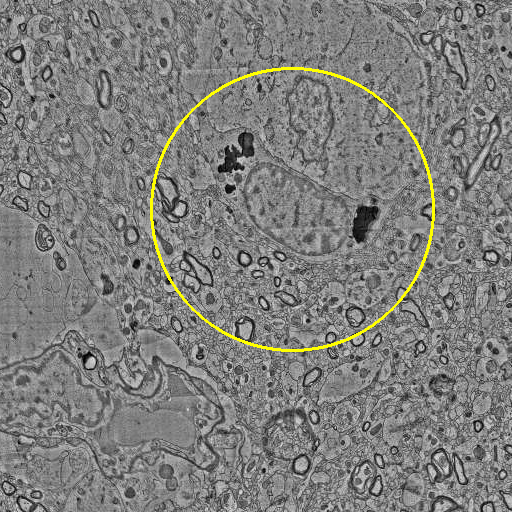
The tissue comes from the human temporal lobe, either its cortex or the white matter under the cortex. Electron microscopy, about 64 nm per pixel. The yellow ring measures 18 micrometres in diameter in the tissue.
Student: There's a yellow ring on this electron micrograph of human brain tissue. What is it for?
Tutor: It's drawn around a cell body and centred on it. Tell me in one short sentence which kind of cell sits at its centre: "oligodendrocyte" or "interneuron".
The cell at the centre of the ring is an oligodendrocyte.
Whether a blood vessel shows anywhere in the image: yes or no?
Yes, a blood vessel can be seen.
